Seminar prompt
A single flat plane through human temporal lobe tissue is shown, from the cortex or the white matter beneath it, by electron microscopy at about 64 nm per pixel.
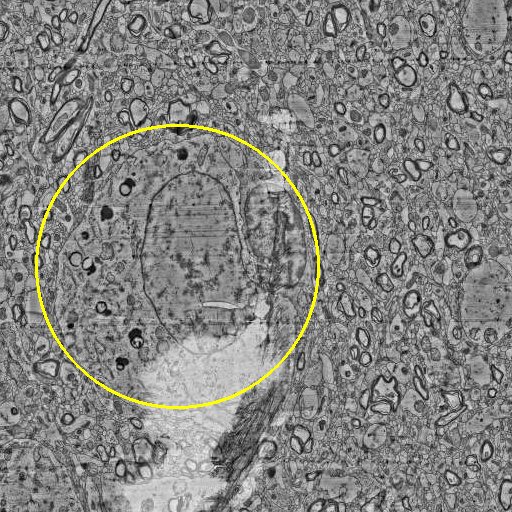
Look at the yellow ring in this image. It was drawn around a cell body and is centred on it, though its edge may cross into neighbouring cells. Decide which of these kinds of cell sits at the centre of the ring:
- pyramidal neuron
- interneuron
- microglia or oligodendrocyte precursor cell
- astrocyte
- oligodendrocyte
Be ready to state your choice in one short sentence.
The kind of cell at the ring's centre is a pyramidal neuron.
